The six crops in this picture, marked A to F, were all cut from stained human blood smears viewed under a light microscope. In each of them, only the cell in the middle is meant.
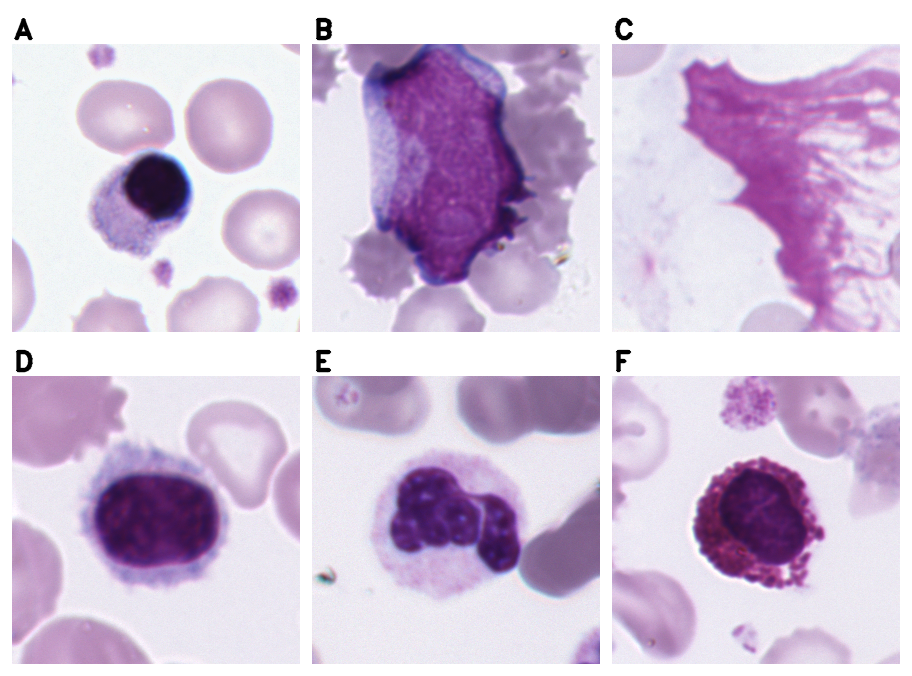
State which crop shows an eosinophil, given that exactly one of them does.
F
